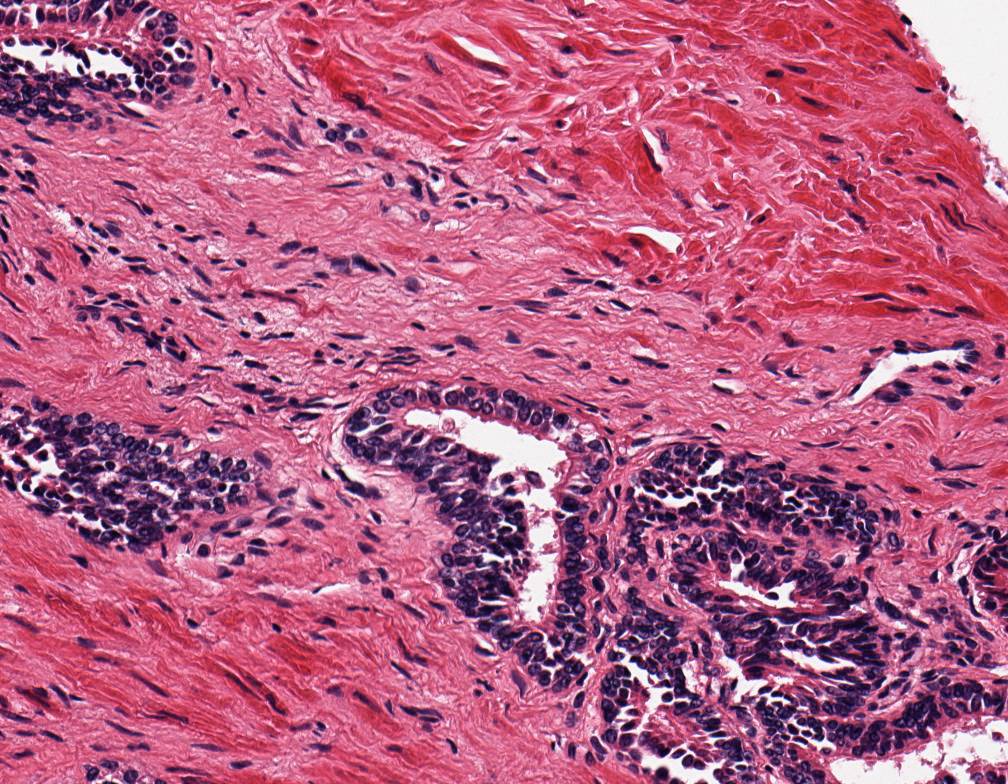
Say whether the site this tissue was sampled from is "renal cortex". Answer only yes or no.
no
